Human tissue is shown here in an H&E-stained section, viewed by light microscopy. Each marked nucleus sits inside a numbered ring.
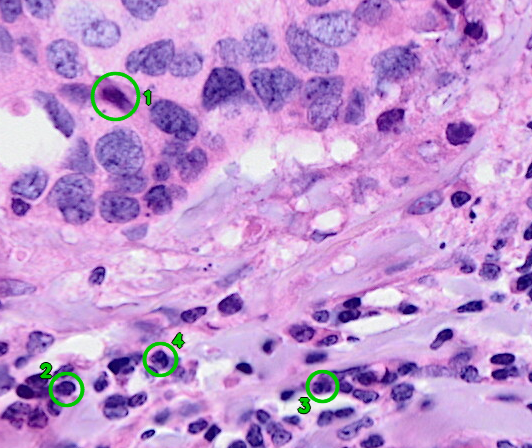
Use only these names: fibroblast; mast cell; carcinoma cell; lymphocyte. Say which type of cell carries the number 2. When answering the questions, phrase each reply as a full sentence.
Recognised here as a lymphocyte is the cell numbered 2.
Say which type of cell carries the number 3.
Denoted by the label 3 in the section is a lymphocyte.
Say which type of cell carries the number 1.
The cell that is numbered 1 is a carcinoma cell.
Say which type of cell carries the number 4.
Looking at the numbered marks, cell 4 is a lymphocyte.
